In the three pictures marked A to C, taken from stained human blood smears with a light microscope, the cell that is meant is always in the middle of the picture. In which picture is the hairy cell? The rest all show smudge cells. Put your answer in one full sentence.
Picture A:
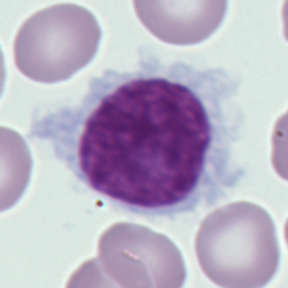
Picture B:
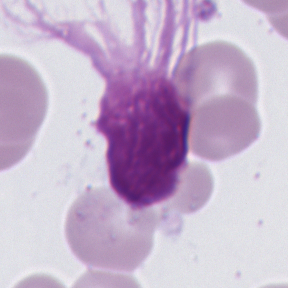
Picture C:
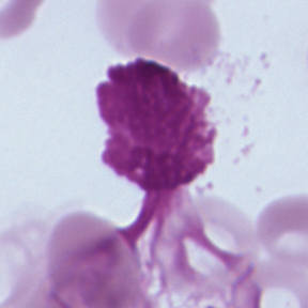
Picture A is the one that shows the hairy cell.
